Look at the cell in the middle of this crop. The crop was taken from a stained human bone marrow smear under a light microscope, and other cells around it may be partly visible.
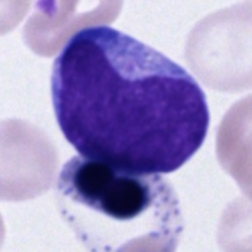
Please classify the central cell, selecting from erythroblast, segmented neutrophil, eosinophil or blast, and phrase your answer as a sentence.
Occupying the centre of the crop is a blast.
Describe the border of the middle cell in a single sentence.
The membrane contour is even and smooth, with nothing projecting from it.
